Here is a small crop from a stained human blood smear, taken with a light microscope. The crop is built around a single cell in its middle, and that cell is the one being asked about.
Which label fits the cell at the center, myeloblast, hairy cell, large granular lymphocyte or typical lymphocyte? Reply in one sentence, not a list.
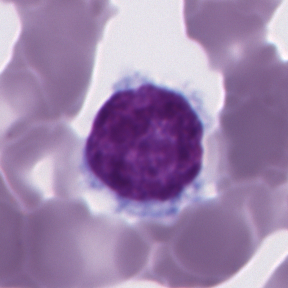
Standing at the centre of this crop is a hairy cell.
